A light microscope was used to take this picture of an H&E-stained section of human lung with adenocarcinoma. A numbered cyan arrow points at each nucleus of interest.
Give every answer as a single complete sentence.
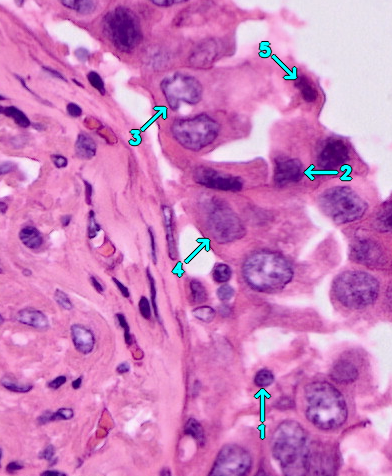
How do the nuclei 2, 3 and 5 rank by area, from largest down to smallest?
The nuclei rank 3, 2, 5, from largest to smallest.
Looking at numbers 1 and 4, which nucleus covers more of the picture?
It is nucleus 4, which covers about 3 times the area of nucleus 1.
